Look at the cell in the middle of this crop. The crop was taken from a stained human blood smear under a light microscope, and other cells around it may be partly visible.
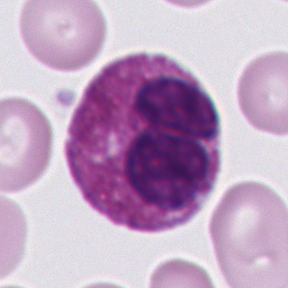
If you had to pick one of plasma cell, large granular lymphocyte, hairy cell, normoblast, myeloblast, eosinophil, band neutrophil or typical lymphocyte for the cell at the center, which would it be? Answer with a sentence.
The cell at the middle of the frame should be recorded as an eosinophil.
